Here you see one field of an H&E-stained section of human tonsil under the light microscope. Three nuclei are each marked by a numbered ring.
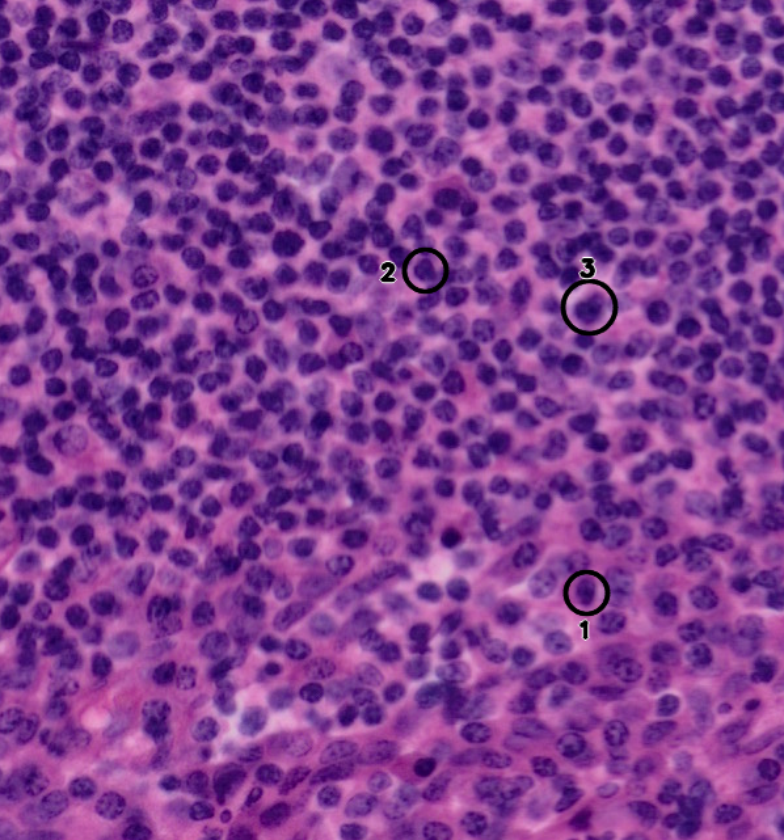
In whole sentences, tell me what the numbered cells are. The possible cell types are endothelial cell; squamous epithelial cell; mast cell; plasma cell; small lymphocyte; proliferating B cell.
Cell 1 is a plasma cell. Cell 2 is a small lymphocyte. Cell 3 is a proliferating B cell.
